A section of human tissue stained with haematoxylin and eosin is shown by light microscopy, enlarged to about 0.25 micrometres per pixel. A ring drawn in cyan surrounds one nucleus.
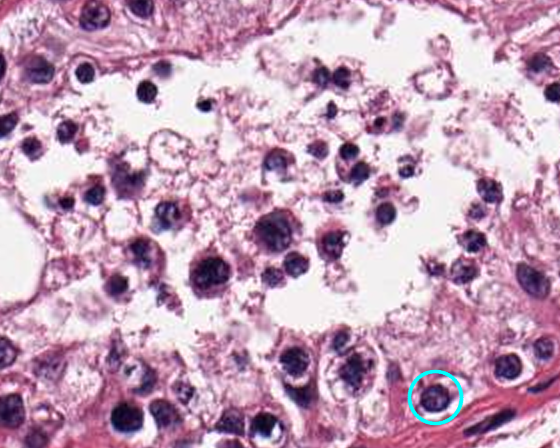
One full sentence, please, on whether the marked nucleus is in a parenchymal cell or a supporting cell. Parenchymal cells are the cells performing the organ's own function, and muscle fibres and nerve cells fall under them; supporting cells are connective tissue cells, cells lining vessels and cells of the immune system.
The marked nucleus is found in a parenchymal cell, namely a spermatogonium.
